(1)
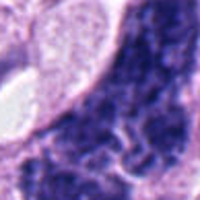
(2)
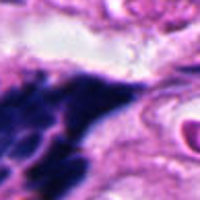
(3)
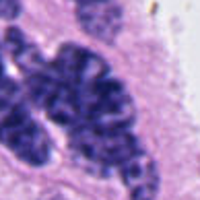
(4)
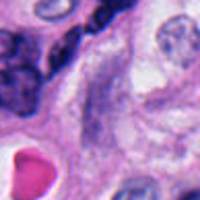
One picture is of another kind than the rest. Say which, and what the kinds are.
Picture 4 shows a cytotrophoblast; the rest show syncytial knots.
